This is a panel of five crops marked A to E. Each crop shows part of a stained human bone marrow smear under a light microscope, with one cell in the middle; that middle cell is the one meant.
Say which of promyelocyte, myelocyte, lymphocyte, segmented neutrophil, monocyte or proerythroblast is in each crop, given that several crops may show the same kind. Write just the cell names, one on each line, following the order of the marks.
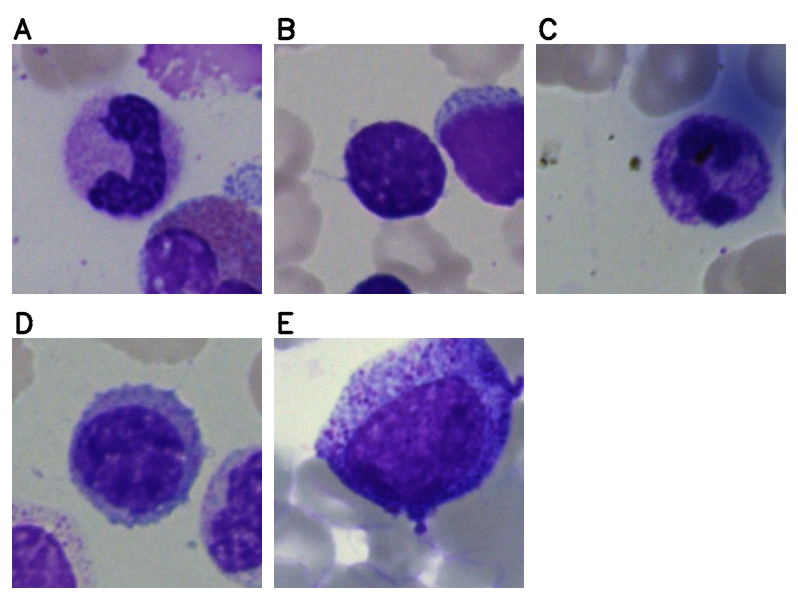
segmented neutrophil
lymphocyte
segmented neutrophil
monocyte
promyelocyte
